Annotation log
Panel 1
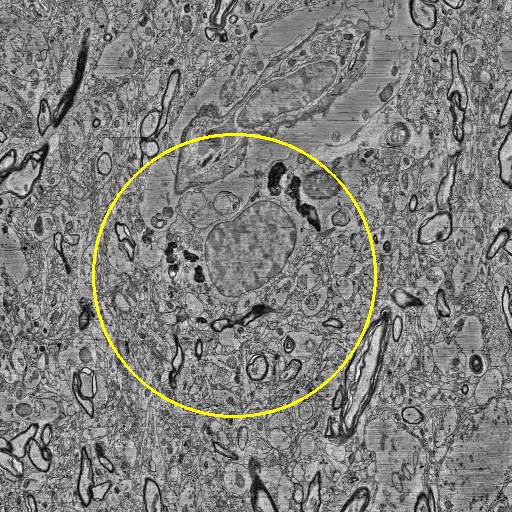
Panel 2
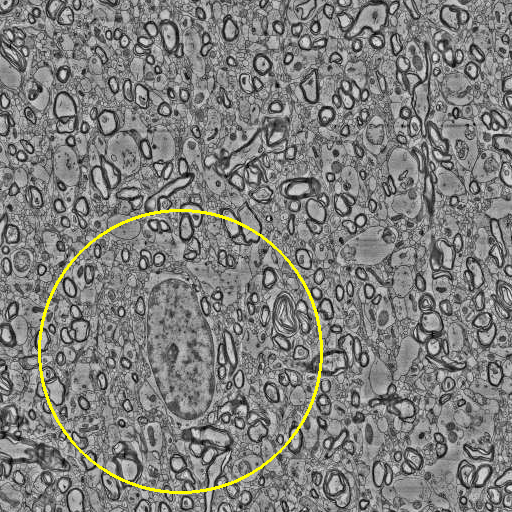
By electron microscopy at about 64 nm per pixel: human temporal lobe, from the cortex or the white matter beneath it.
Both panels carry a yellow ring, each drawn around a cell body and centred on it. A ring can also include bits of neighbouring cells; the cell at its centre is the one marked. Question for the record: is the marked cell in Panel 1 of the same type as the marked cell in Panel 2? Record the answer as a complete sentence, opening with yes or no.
No, the marked cells in Panel 1 and Panel 2 are of two types.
